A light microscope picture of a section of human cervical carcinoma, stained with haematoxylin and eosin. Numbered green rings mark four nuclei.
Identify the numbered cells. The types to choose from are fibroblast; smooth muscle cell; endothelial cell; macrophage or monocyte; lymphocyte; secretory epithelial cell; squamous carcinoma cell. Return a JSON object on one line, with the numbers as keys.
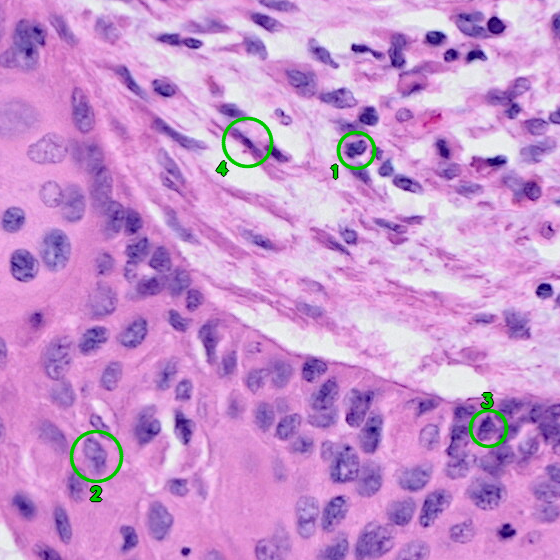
{"1": "lymphocyte", "2": "squamous carcinoma cell", "3": "squamous carcinoma cell", "4": "fibroblast"}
